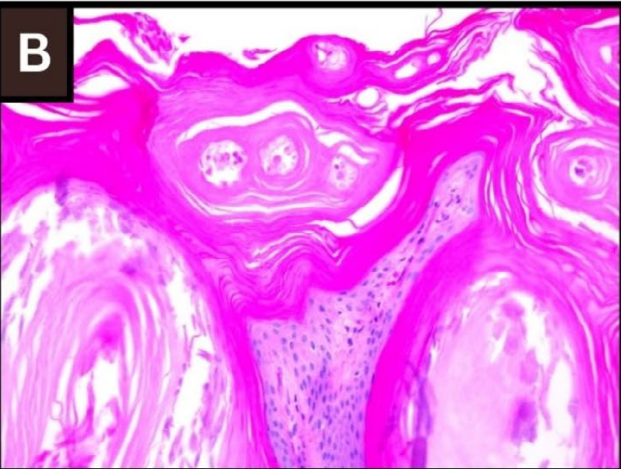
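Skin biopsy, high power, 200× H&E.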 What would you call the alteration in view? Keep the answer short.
Orthohyperkeratosis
